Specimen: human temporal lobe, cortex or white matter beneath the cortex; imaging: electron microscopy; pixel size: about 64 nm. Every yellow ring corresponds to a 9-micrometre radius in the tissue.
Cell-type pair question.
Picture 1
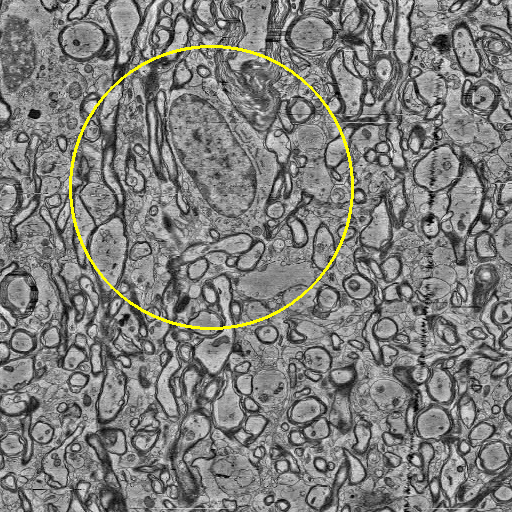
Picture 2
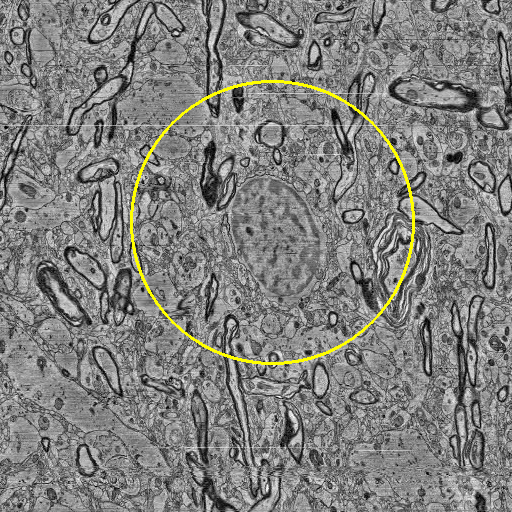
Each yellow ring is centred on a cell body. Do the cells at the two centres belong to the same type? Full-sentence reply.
No, the two cells belong to two types.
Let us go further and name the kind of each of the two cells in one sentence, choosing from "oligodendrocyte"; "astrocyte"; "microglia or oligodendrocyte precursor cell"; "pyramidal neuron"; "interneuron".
The ring of the first picture is on a microglial cell or oligodendrocyte precursor cell, the ring of the second on an oligodendrocyte.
